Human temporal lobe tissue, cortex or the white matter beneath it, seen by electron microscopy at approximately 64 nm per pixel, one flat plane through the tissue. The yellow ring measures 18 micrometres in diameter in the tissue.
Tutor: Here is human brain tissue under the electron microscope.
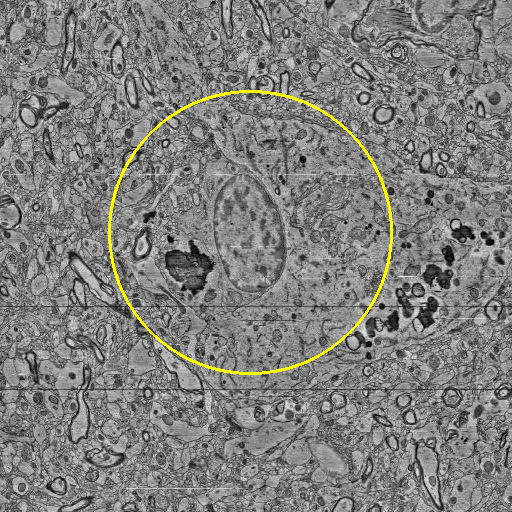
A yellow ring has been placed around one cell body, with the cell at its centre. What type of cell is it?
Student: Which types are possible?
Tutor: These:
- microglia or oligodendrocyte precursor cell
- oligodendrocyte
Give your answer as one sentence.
What the ring picks out here is an oligodendrocyte.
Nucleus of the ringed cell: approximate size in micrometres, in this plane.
The nucleus is approximately 8 micrometres long but only about 4 wide, clearly longer than it is wide in this plane.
